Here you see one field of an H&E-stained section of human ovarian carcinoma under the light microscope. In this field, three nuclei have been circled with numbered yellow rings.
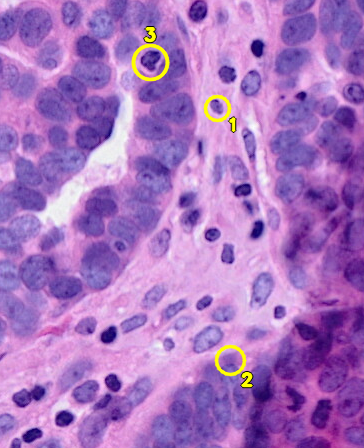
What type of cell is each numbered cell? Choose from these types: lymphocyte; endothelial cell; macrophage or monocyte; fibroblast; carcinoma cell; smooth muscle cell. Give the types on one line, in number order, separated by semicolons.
lymphocyte; carcinoma cell; lymphocyte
